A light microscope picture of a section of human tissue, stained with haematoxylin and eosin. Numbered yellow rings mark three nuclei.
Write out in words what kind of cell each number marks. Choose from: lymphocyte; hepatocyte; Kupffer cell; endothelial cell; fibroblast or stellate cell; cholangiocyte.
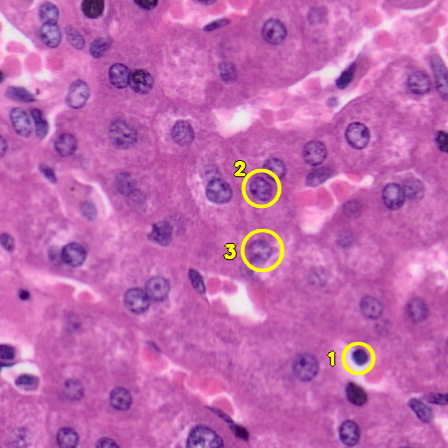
Cell 1 is a lymphocyte. Cells 2 and 3 are hepatocytes.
